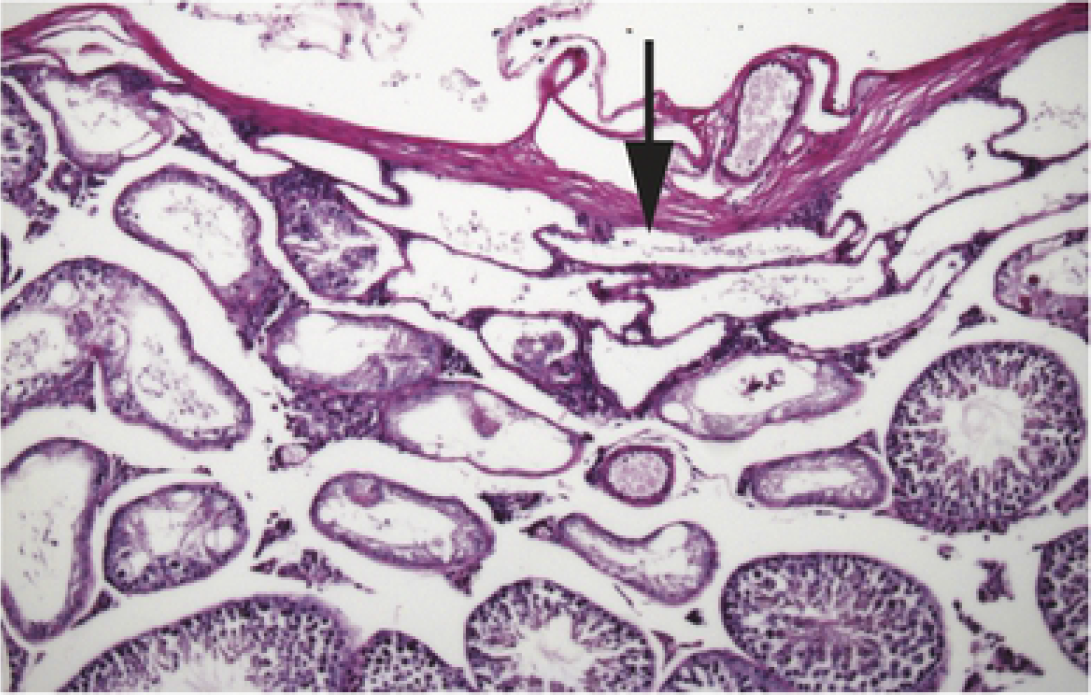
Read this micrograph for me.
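This is the edge of a testis where the rete testis lies beneath the pink-magenta capsule, here opened into wide, irregular channels with thin walls. Below, many seminiferous tubules are seen in section, several with a thin wall and a largely empty lumen, while others still carry a thick layered germ cell epithelium.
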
